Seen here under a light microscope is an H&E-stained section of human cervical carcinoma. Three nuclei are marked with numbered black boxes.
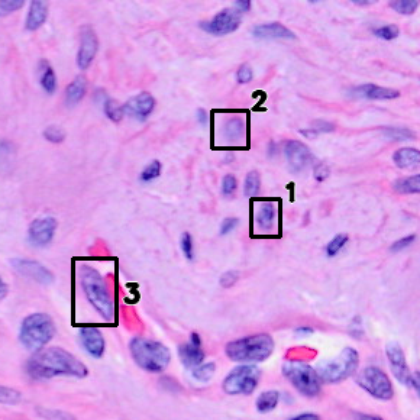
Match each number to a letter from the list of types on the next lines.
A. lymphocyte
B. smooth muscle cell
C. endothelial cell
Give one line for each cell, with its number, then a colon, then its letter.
1: B
2: B
3: C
